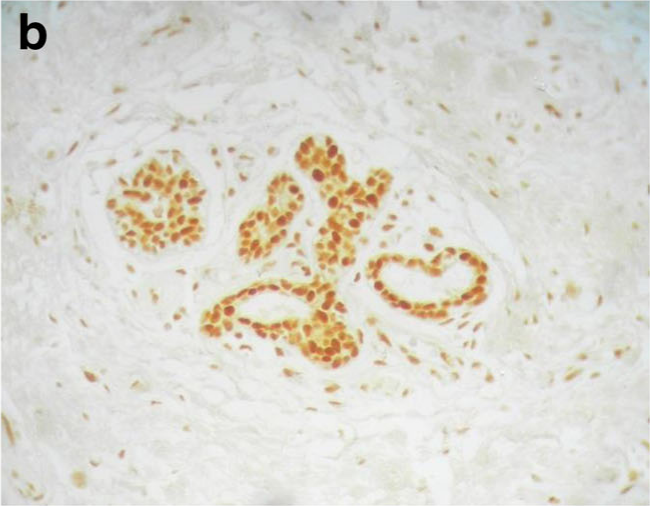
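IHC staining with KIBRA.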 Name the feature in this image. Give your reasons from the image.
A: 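Acini. Small clusters of epithelial-lined rounded and branching units. Units lie within a pale loose fibrous stroma.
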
